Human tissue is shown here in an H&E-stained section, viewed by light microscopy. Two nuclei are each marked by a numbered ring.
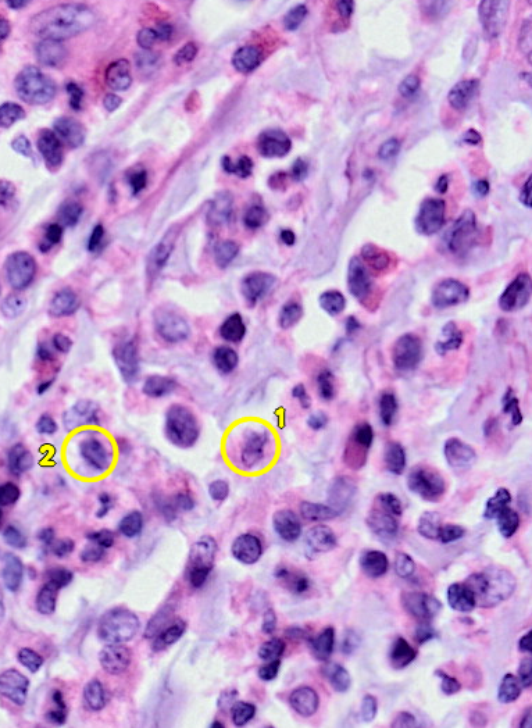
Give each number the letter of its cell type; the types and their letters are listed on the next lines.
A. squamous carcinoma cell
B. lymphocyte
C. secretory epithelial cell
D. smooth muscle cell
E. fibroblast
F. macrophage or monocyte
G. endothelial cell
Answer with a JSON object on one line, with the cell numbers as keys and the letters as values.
{"1": "F", "2": "B"}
